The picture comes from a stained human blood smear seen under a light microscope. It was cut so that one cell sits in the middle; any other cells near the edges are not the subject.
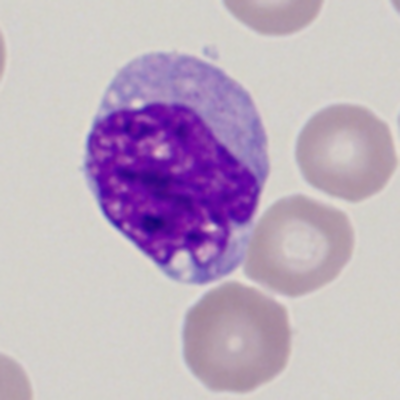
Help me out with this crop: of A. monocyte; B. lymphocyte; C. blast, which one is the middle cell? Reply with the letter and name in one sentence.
That the central cell is a monocyte makes option A correct.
